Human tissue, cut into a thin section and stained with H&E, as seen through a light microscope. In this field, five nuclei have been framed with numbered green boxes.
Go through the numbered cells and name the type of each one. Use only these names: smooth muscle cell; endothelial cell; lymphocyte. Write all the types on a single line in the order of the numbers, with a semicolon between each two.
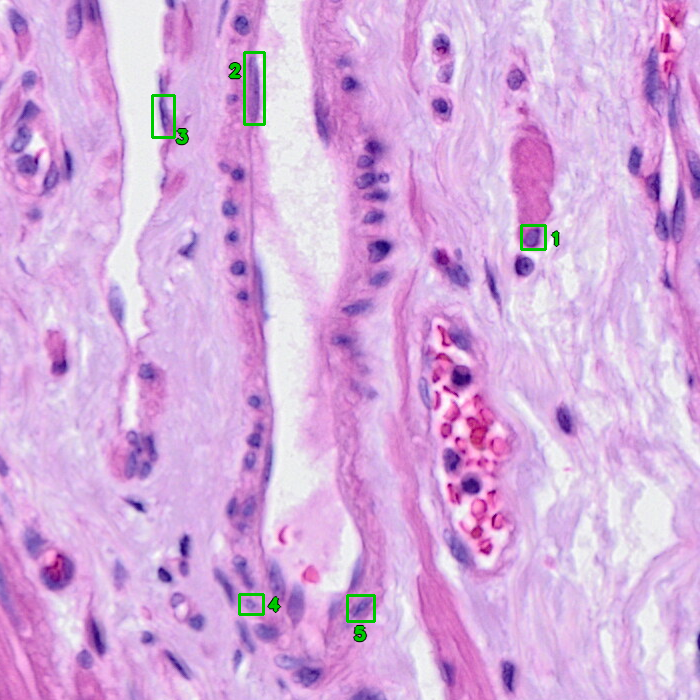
smooth muscle cell; endothelial cell; endothelial cell; smooth muscle cell; smooth muscle cell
